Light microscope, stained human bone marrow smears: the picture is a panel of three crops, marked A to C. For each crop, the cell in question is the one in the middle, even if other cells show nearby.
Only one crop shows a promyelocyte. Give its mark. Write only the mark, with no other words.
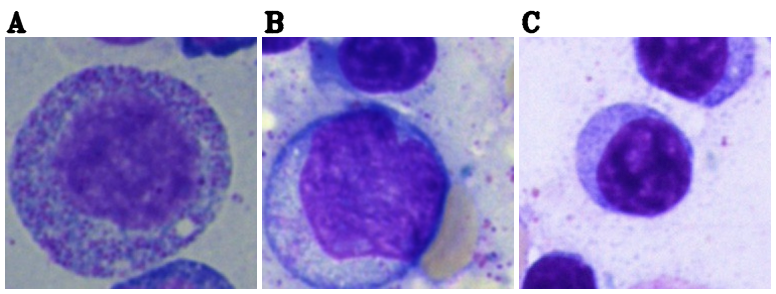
A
